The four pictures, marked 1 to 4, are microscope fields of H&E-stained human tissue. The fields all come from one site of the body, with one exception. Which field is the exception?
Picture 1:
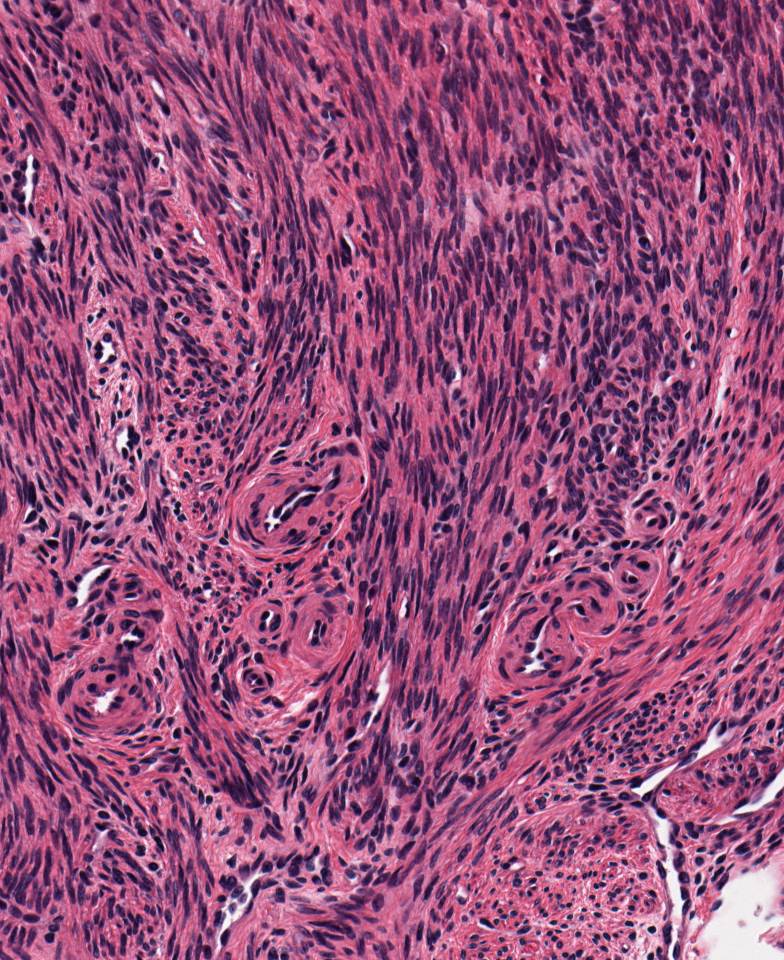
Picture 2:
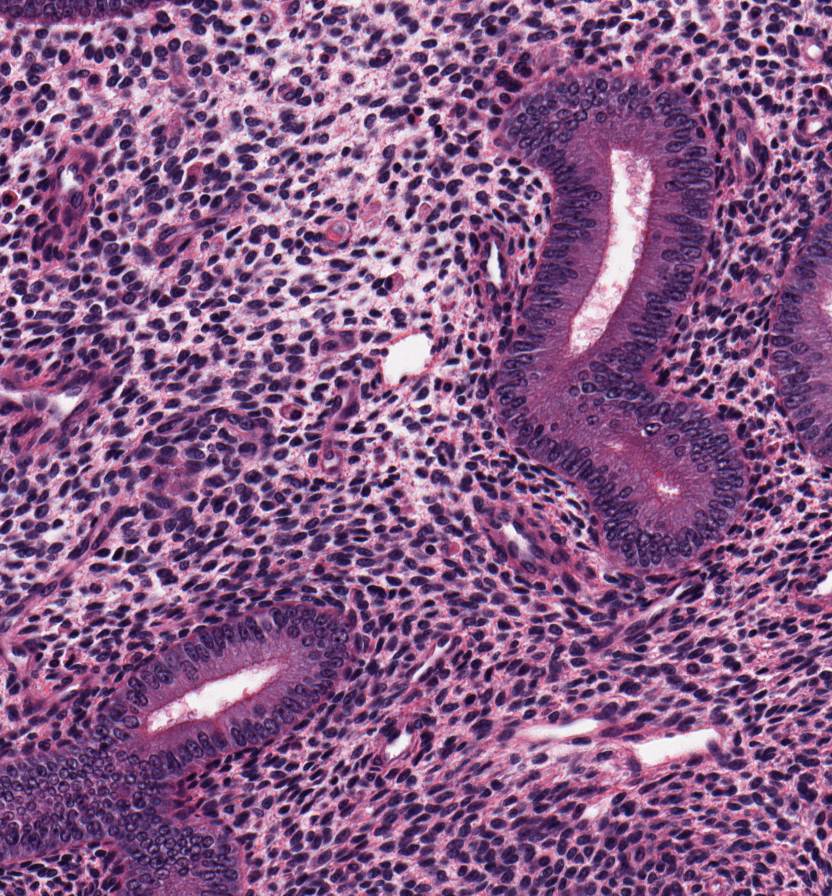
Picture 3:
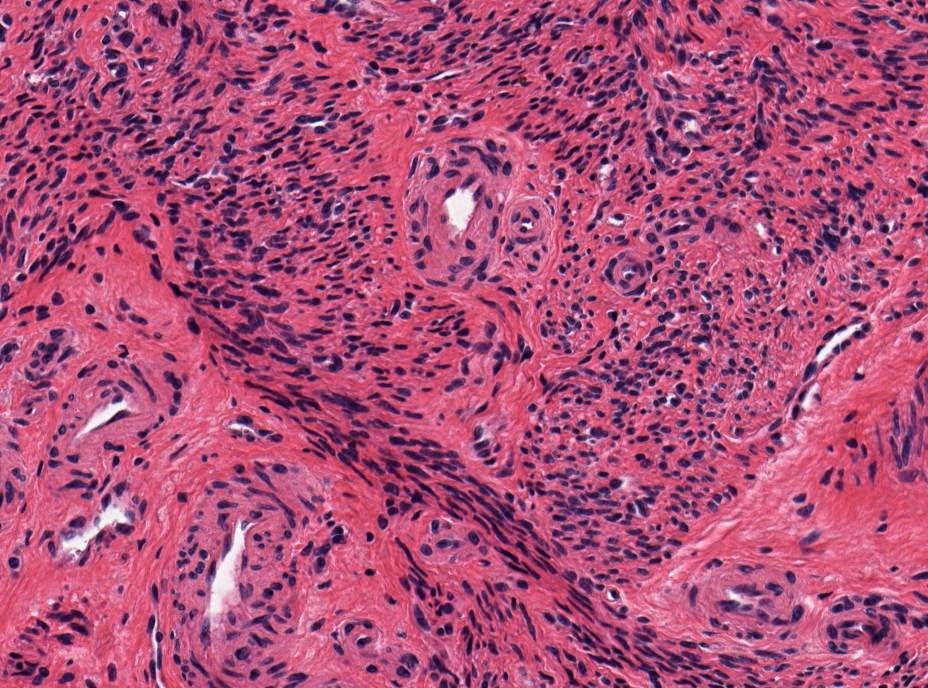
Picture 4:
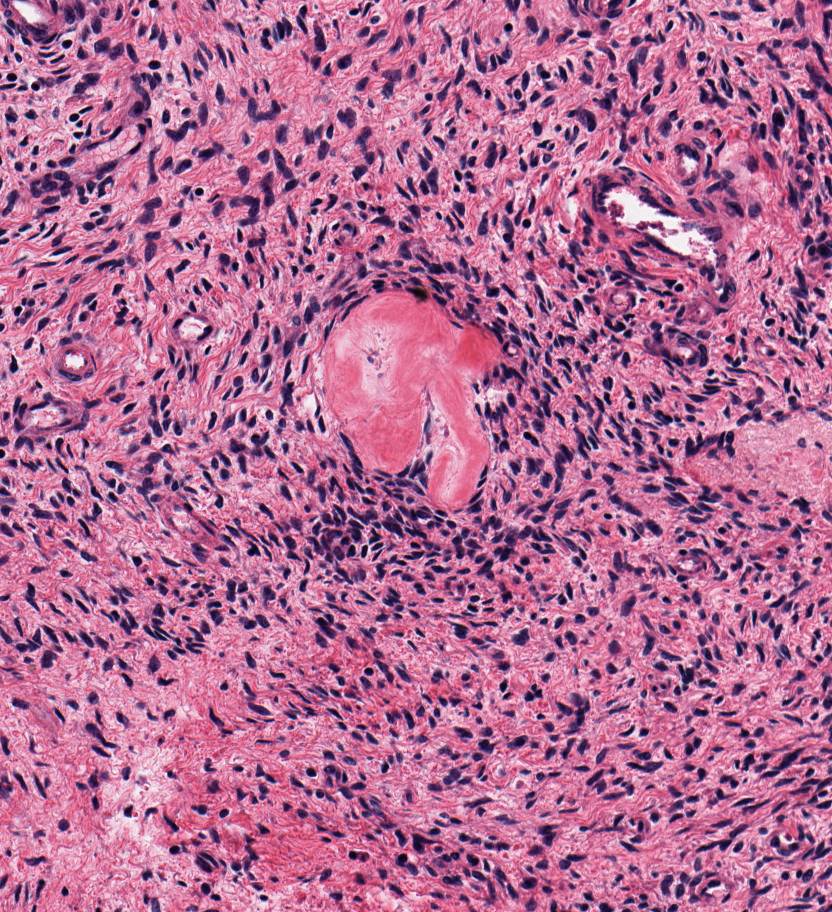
4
